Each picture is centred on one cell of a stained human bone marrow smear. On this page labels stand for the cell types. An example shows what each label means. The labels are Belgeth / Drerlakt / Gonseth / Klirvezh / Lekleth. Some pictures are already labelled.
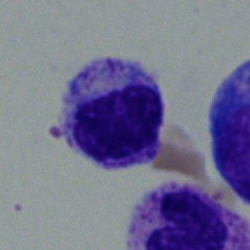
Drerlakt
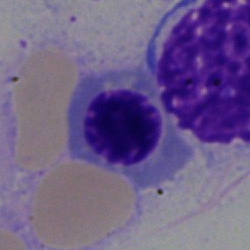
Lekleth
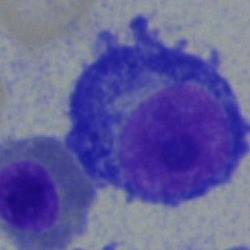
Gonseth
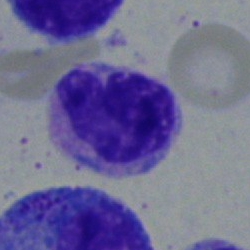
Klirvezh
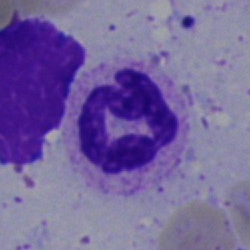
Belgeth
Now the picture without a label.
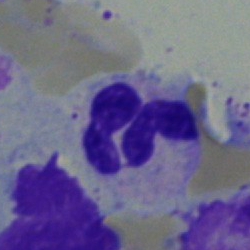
Belgeth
